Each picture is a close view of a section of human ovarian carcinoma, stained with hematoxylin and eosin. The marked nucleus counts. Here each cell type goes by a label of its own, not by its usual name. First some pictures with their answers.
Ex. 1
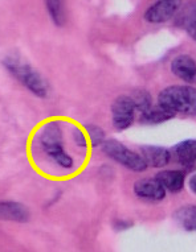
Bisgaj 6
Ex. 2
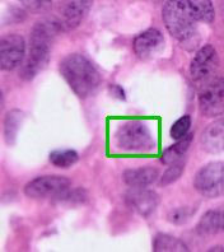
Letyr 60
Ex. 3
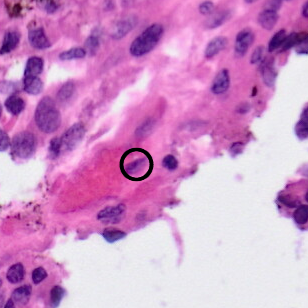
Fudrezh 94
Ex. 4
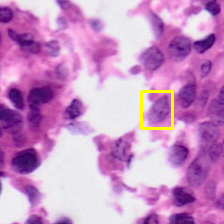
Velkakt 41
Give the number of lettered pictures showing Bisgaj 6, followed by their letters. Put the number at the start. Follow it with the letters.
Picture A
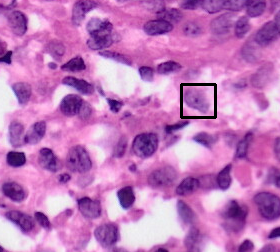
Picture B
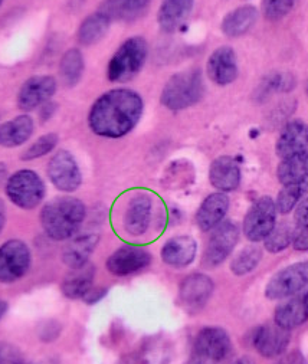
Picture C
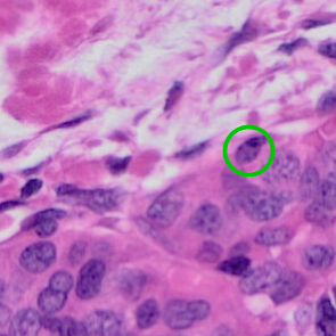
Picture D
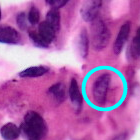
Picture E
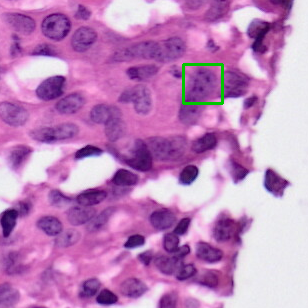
0, none of them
